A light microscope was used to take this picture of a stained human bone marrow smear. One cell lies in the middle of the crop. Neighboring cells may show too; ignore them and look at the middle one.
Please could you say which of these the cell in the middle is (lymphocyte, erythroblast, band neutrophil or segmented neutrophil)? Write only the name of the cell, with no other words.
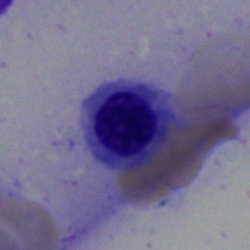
erythroblast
